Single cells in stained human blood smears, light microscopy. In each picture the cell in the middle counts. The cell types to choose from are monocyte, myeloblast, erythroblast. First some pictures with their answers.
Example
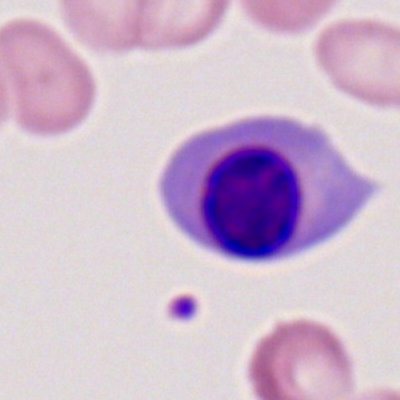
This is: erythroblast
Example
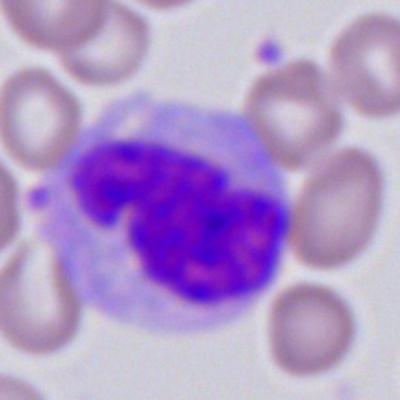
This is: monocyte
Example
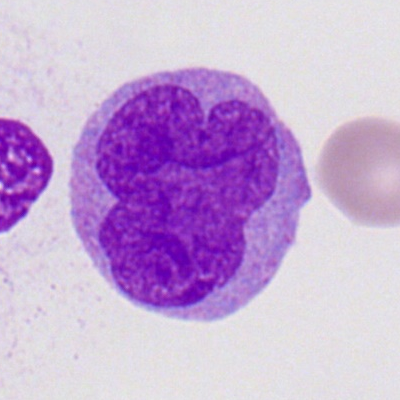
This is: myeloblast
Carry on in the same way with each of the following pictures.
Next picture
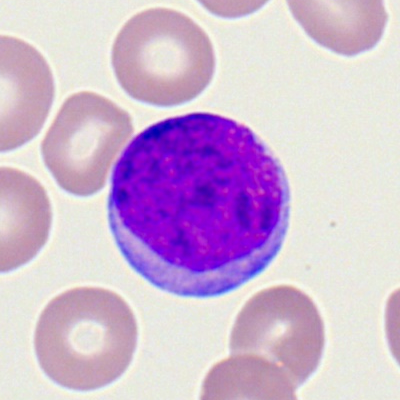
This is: myeloblast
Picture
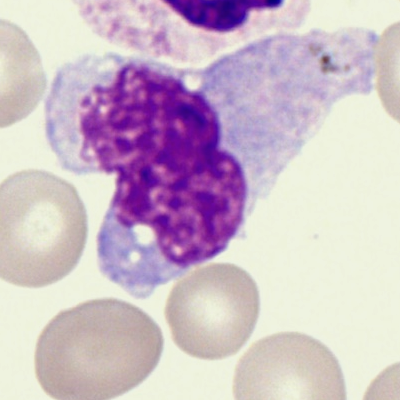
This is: monocyte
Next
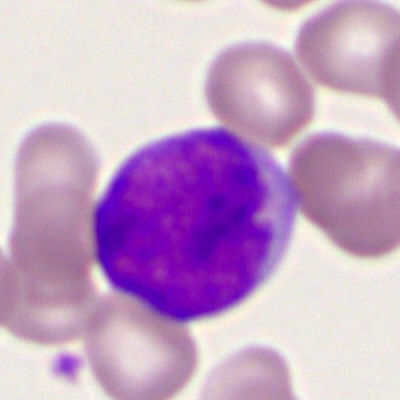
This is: myeloblast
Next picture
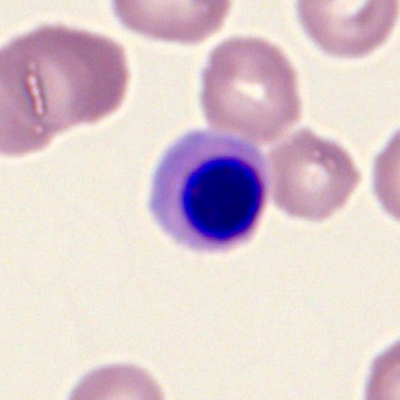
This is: erythroblast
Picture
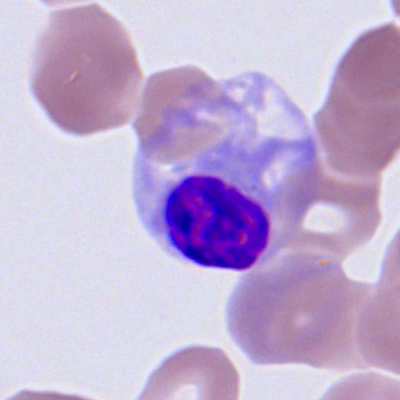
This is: erythroblast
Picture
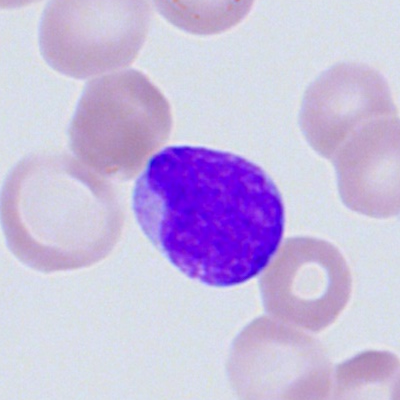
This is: myeloblast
